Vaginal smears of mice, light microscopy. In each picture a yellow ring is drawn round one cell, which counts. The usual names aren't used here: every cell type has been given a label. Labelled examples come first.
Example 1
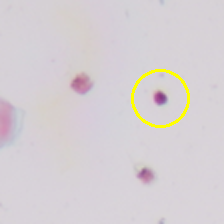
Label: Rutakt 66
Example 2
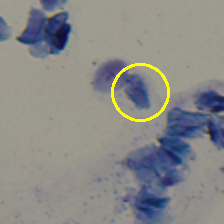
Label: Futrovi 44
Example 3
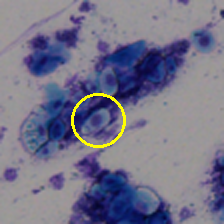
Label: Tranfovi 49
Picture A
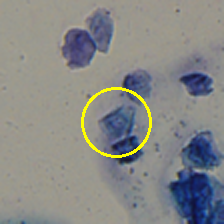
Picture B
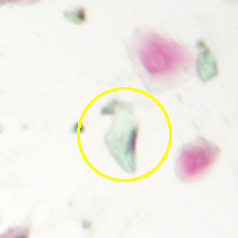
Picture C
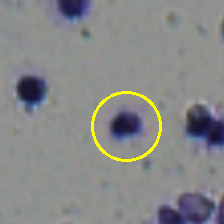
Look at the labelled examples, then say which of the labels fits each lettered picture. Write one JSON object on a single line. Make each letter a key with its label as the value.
{"A": "Futrovi 44", "B": "Futrovi 44", "C": "Rutakt 66"}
